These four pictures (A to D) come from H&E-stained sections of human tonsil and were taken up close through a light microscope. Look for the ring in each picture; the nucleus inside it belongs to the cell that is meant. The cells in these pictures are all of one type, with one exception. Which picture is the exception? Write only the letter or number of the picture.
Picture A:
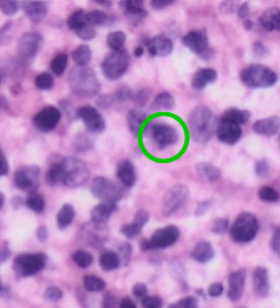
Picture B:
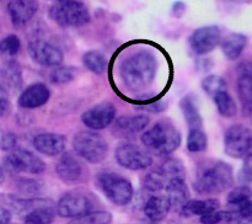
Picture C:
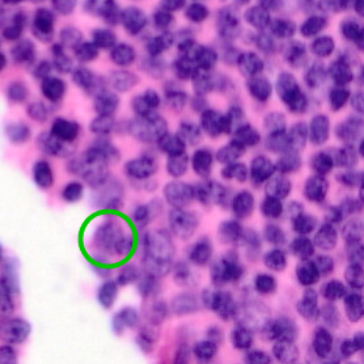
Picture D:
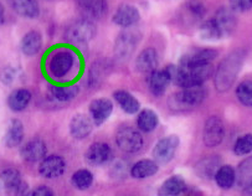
D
